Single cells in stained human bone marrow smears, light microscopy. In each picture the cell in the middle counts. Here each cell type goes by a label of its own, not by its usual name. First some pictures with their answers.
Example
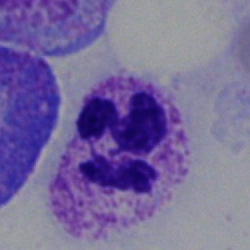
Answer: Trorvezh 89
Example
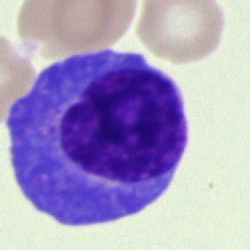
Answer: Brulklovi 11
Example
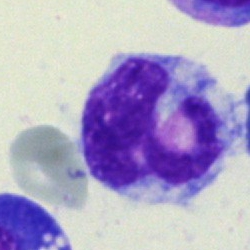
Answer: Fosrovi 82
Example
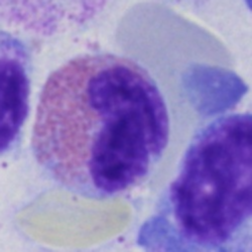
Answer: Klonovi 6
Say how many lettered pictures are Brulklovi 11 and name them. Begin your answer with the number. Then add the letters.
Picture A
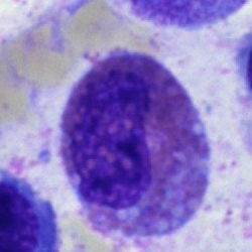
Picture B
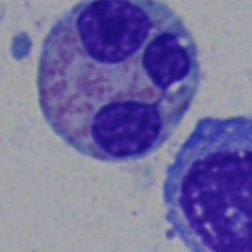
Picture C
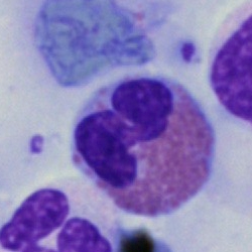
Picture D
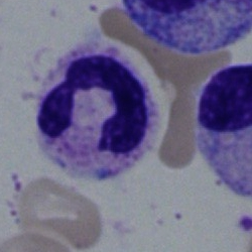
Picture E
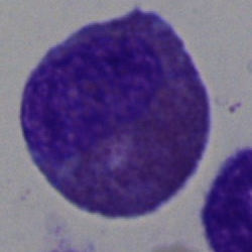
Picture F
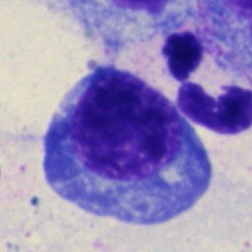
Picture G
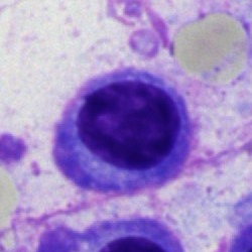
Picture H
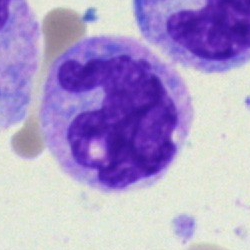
2: F, G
